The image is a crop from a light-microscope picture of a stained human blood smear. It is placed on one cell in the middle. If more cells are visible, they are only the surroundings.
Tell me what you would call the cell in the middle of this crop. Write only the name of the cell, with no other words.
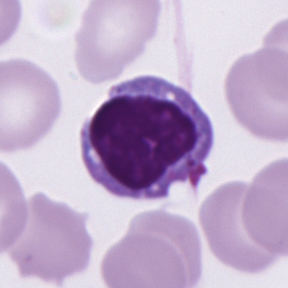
typical lymphocyte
